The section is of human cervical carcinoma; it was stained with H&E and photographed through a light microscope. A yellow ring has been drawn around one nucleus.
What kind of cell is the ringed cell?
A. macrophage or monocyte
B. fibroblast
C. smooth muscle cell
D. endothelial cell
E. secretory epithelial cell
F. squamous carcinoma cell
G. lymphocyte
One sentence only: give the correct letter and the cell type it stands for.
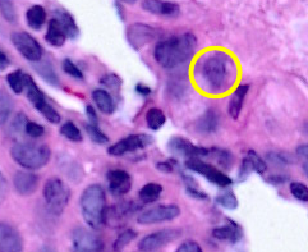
Option E gets it right, as the ringed cell is a secretory epithelial cell.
